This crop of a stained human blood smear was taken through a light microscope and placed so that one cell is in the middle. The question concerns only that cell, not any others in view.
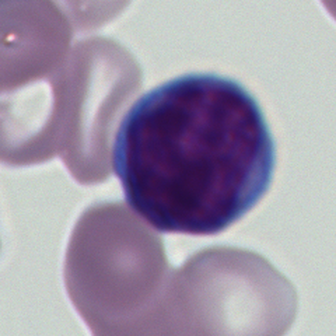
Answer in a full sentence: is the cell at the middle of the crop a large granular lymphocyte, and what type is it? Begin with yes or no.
No, calling it a large granular lymphocyte is wrong; the middle cell is a typical lymphocyte.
